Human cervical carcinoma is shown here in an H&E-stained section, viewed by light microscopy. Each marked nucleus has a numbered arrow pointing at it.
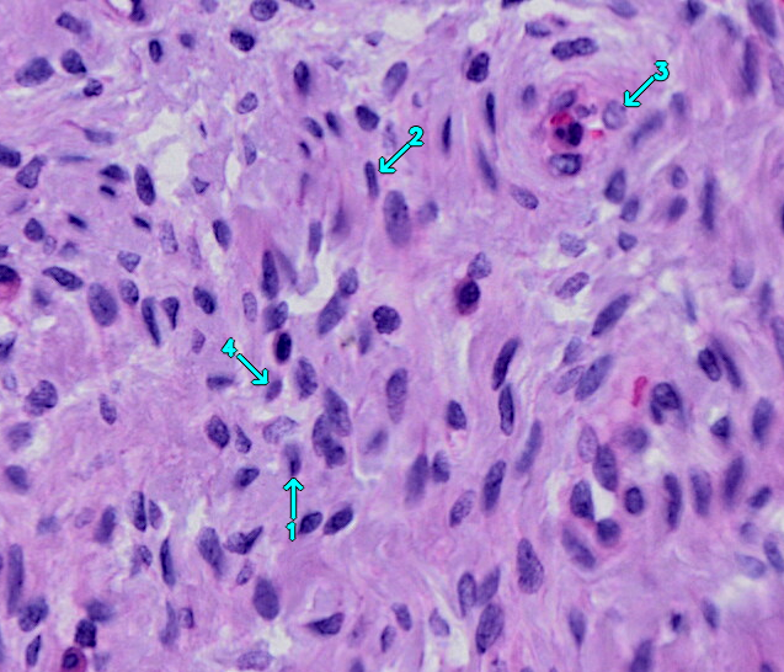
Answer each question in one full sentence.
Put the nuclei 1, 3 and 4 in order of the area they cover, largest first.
From largest to smallest, the order is 3, 1, 4.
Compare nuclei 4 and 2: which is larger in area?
It is nucleus 2, which covers about 1.5 times the area of nucleus 4.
